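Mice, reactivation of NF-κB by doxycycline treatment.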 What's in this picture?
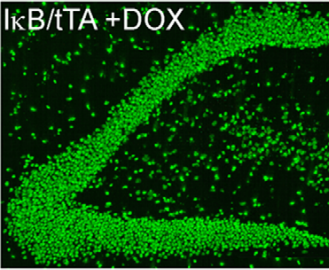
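The two blades meet at an apex on the left and open toward the right, each many cells thick. The nuclei in the band are small, round and of even size, crowded against one another. Outside the band, in the region between the blades and in the surrounding tissue, only scattered single nuclei are seen.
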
